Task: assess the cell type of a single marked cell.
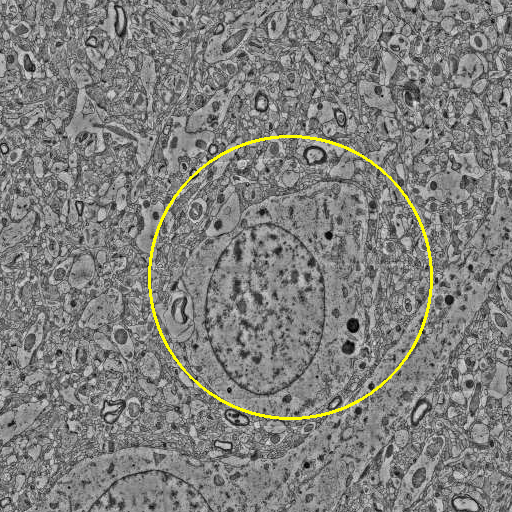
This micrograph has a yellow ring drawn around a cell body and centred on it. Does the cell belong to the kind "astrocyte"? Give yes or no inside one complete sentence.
No, the marked cell at the centre of the ring belongs to another kind.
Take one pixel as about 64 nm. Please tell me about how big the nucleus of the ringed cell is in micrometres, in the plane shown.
About 11 by 8 micrometers, in this plane.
